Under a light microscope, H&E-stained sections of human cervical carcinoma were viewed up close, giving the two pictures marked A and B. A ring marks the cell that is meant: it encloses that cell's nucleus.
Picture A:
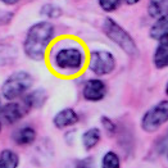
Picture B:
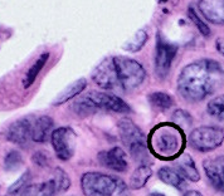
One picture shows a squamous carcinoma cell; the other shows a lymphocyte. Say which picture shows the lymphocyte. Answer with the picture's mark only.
A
